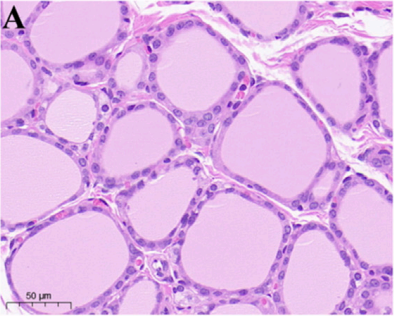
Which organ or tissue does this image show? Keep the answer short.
Thyroid glands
